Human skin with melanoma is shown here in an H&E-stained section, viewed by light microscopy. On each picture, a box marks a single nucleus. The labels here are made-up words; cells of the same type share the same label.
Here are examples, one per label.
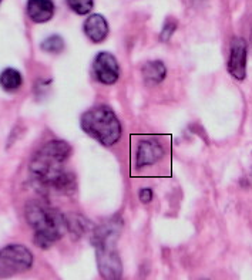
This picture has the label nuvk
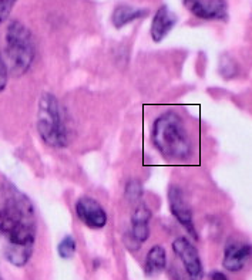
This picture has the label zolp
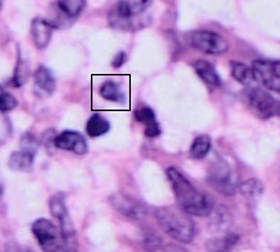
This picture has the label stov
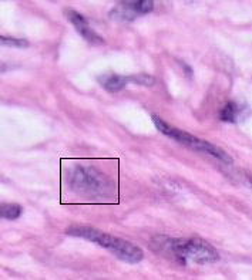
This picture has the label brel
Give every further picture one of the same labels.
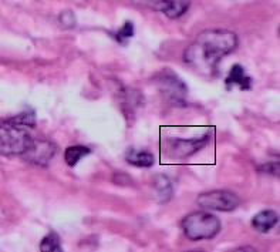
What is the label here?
brel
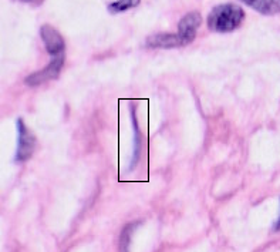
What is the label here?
brel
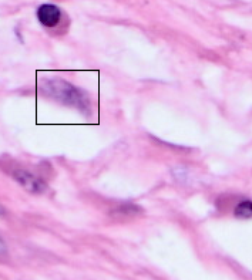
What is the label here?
brel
